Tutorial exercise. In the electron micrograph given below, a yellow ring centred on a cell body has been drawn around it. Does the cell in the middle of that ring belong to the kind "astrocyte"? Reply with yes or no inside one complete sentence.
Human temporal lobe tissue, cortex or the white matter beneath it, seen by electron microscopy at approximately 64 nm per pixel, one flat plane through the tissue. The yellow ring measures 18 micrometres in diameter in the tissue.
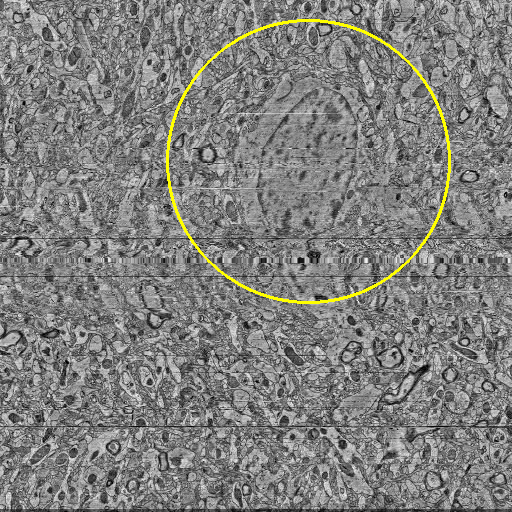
Yes, the cell at the centre of the ring in the picture is of that kind.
